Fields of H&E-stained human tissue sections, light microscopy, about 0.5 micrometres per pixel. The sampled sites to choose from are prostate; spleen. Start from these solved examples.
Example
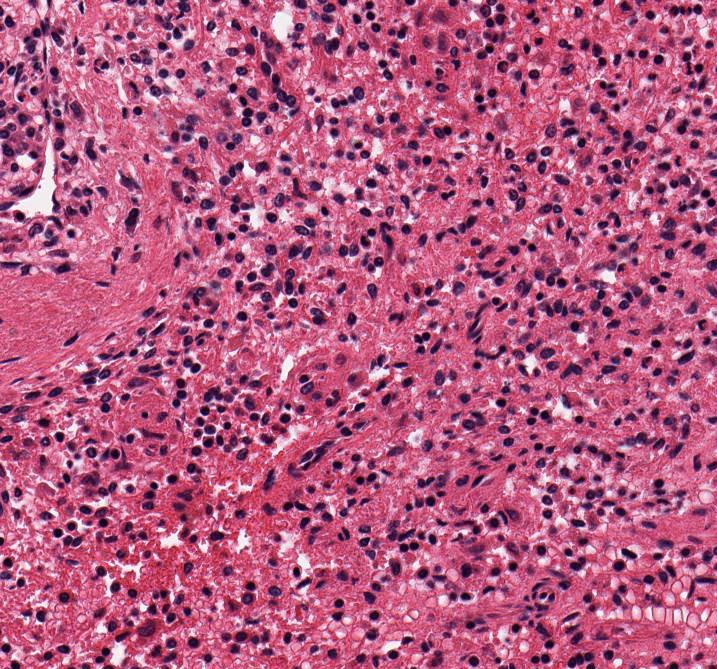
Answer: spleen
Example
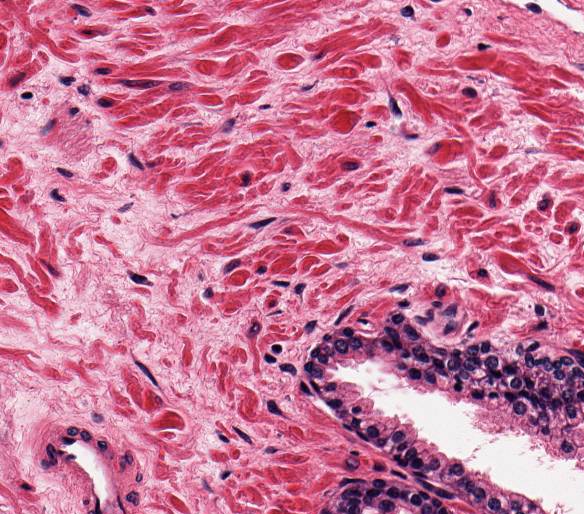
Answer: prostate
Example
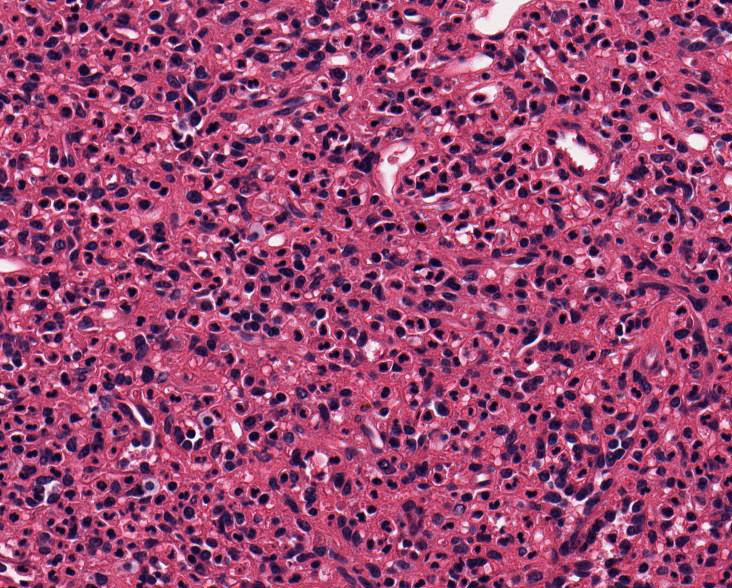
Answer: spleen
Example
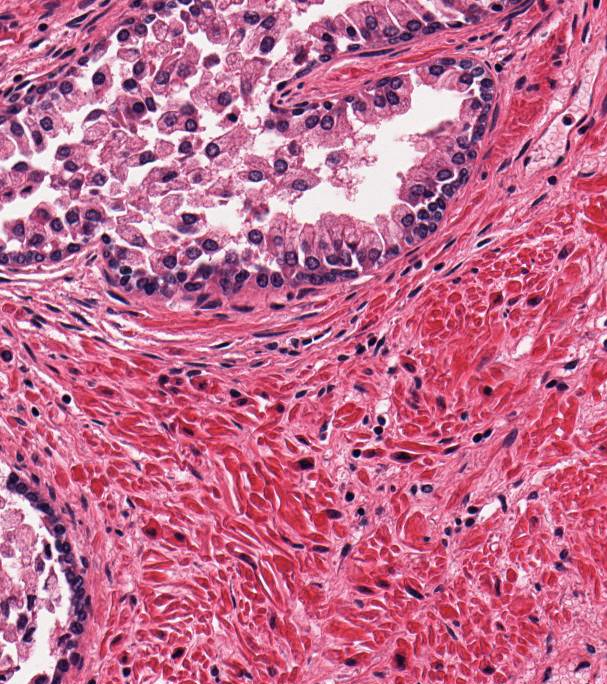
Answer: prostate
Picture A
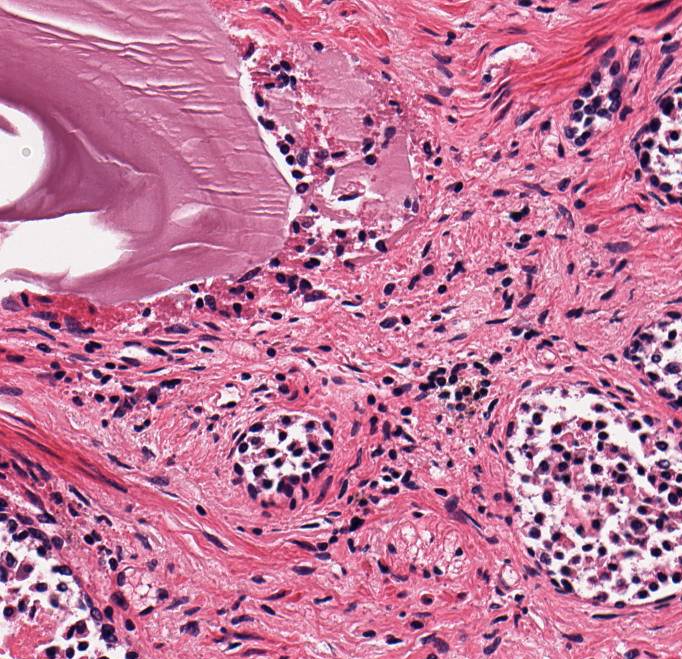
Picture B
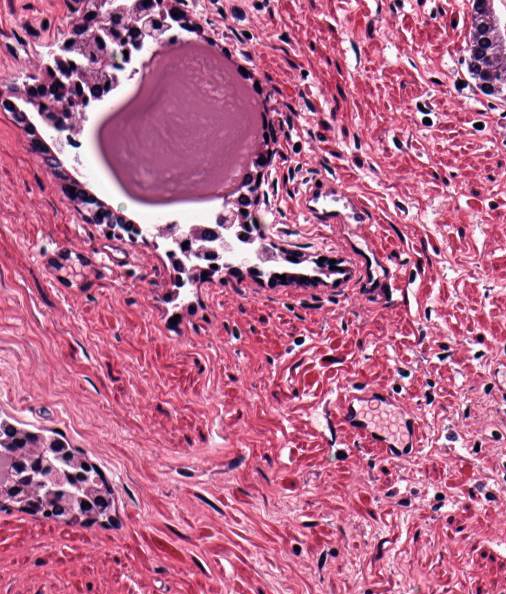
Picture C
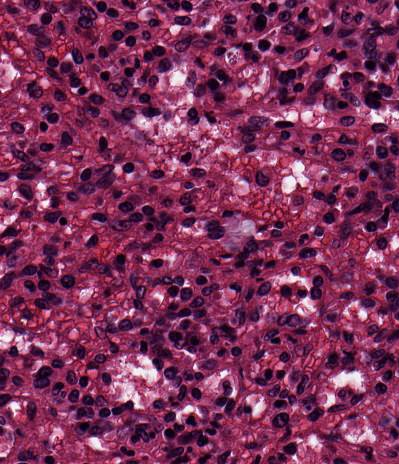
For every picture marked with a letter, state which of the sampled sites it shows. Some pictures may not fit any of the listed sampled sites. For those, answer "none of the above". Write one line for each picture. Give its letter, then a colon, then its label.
A: prostate
B: prostate
C: spleen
